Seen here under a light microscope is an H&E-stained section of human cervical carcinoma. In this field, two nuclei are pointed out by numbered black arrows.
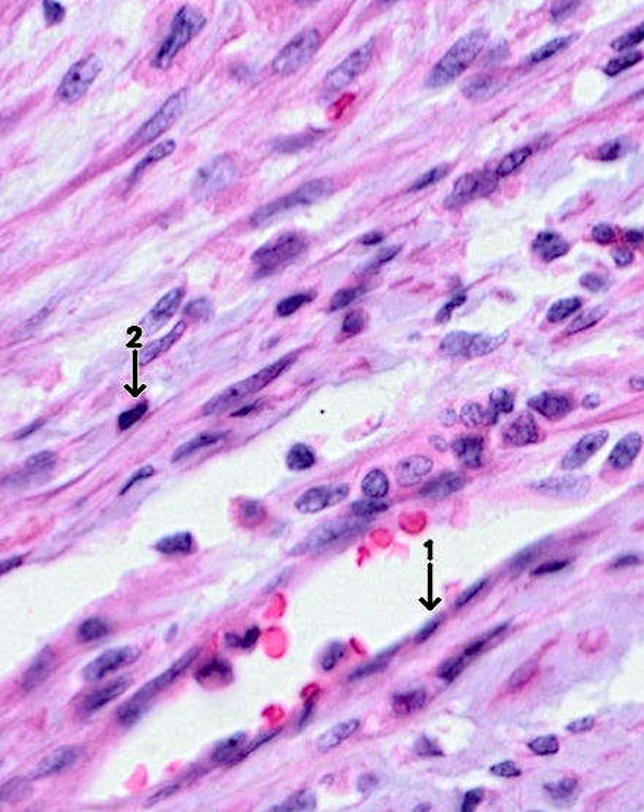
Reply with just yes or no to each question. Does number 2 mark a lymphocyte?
yes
